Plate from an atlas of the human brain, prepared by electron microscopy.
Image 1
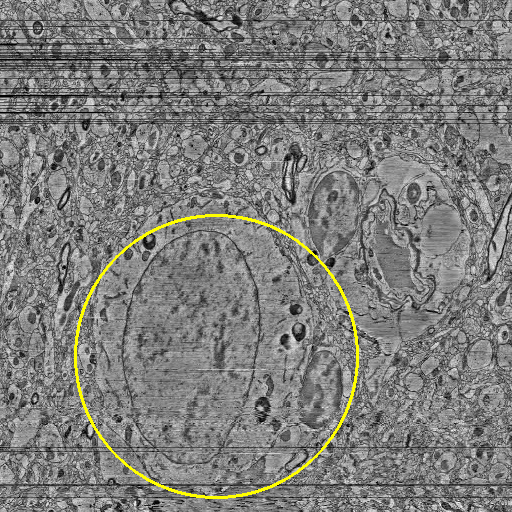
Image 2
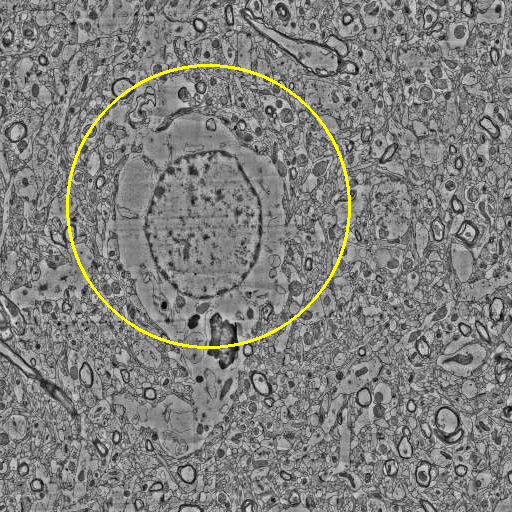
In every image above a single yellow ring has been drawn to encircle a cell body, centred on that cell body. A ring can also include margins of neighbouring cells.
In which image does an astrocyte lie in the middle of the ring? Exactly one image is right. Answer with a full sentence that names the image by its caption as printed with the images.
Image 2 holds the requested cell at the very centre of its ring.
